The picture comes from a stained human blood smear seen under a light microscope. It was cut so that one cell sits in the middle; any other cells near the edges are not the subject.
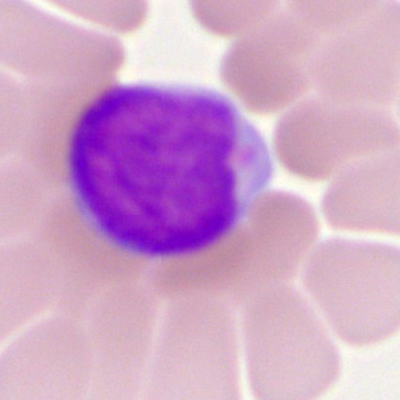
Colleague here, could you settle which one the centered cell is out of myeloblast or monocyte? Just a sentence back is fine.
Present in the middle of the crop is a myeloblast.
